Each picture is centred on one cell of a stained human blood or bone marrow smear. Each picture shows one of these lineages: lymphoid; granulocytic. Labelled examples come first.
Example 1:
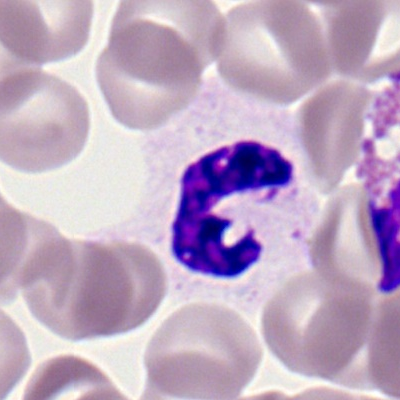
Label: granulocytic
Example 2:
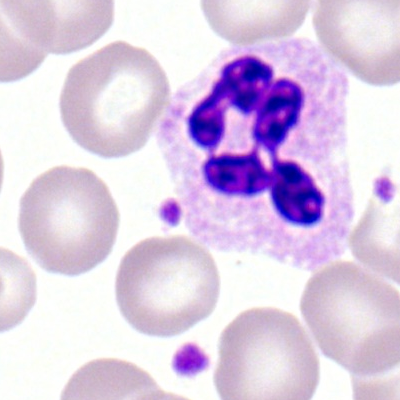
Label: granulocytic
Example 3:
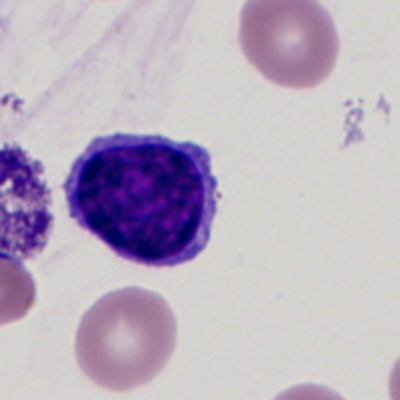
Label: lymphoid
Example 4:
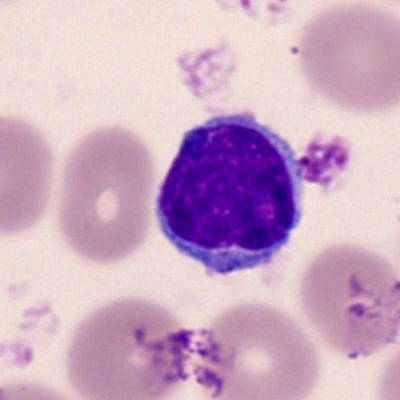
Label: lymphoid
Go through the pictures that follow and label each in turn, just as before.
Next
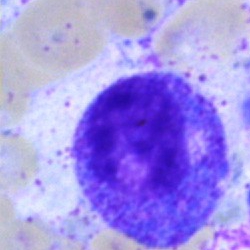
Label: granulocytic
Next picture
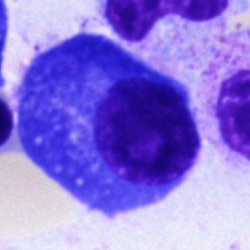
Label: lymphoid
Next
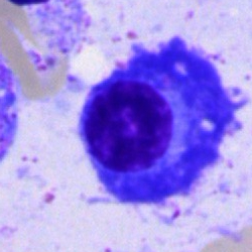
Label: lymphoid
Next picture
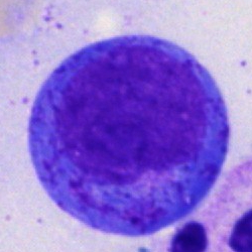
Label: granulocytic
